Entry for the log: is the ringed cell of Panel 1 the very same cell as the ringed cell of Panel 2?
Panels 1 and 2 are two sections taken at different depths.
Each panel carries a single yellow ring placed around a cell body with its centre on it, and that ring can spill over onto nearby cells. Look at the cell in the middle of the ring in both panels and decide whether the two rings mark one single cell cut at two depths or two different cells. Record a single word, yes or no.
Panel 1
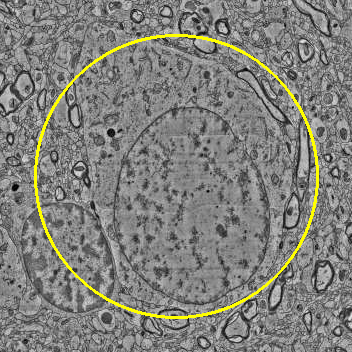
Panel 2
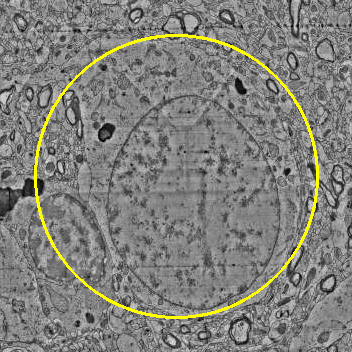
yes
